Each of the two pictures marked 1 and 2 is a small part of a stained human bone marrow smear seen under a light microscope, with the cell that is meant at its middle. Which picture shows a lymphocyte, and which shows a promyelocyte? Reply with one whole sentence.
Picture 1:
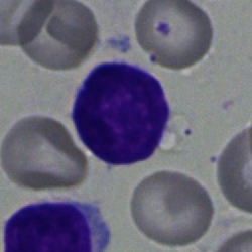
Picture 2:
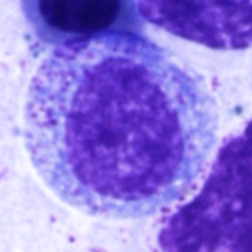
Picture 2 shows a promyelocyte, while picture 1 shows a lymphocyte.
